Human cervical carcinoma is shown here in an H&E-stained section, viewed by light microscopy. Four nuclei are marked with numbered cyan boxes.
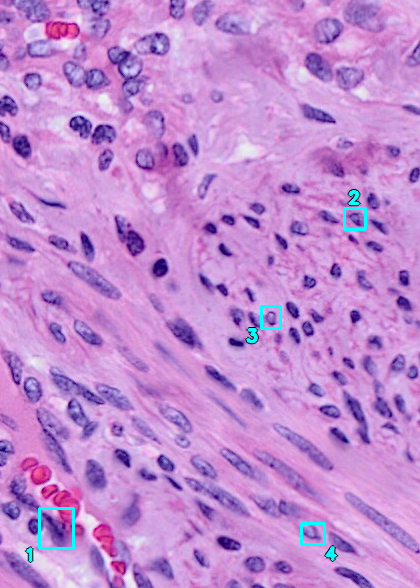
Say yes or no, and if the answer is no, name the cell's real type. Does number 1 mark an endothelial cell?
Yes.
